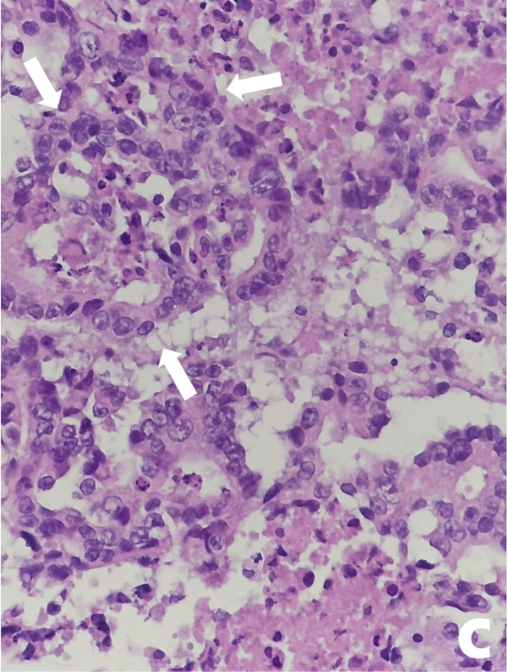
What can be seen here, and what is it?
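Tumour cells of an adenocarcinoma are seen at high magnification, forming crowded cords and gland-like rows around irregular clear spaces. The cells vary in size and shape. Their nuclei are large, round to oval and vesicular, many with a distinct dark nucleolus, and they are stacked and overlapping along the gland-like rows. The cytoplasm is pale pink to lilac and moderate in amount. Between the cell groups lie empty spaces and loose pink material with scattered small dark nuclei. Some cells lie singly, detached from the groups.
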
